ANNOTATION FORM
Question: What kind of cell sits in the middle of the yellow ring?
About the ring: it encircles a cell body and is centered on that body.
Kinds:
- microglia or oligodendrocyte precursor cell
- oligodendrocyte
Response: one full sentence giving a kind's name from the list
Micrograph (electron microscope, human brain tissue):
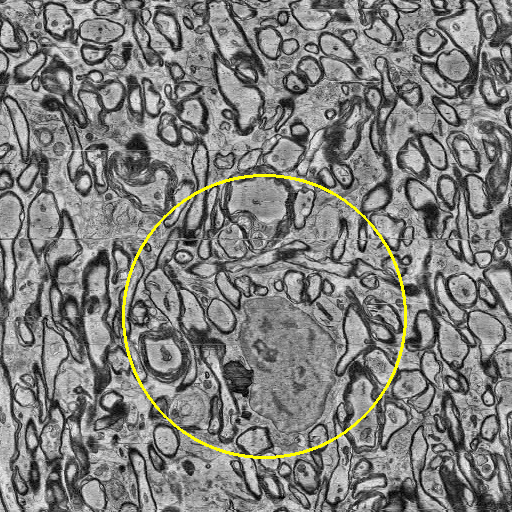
The kind of cell found at the center of the yellow ring in the micrograph is an oligodendrocyte.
